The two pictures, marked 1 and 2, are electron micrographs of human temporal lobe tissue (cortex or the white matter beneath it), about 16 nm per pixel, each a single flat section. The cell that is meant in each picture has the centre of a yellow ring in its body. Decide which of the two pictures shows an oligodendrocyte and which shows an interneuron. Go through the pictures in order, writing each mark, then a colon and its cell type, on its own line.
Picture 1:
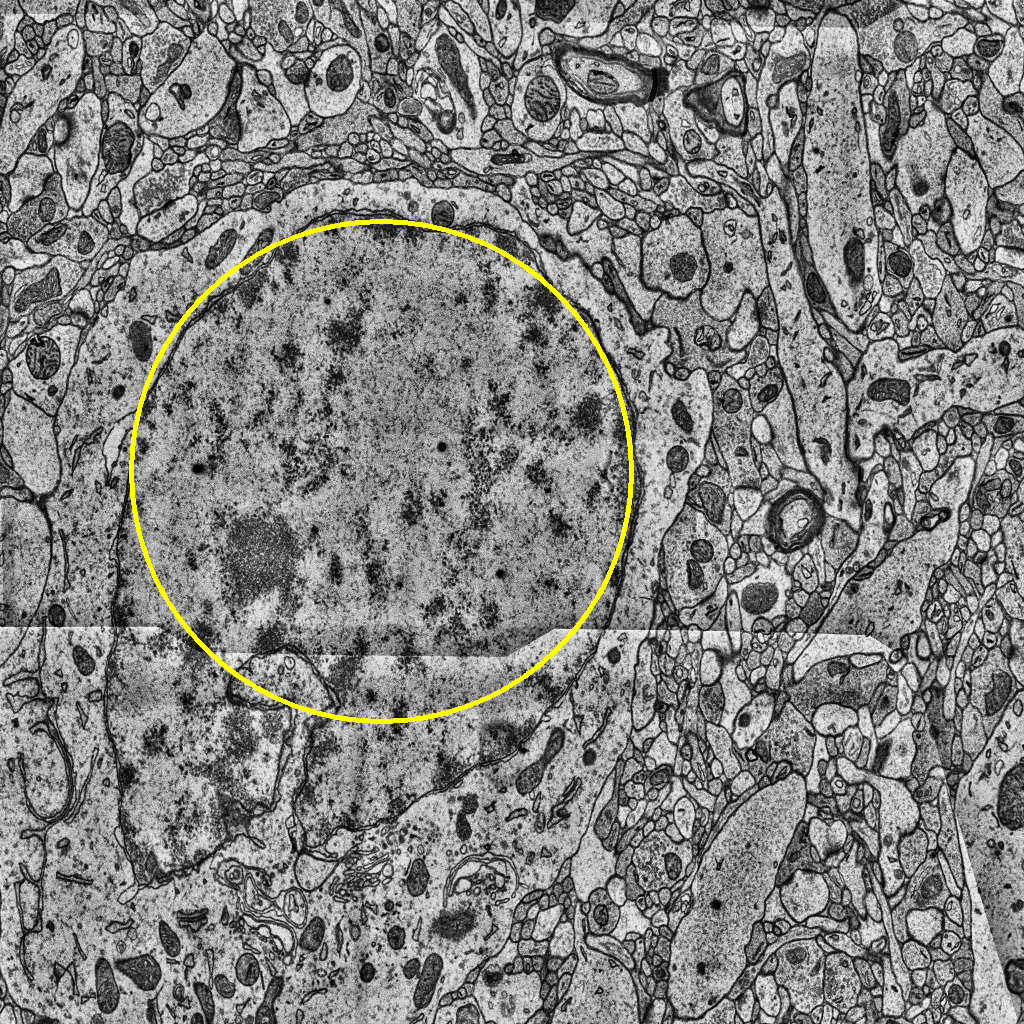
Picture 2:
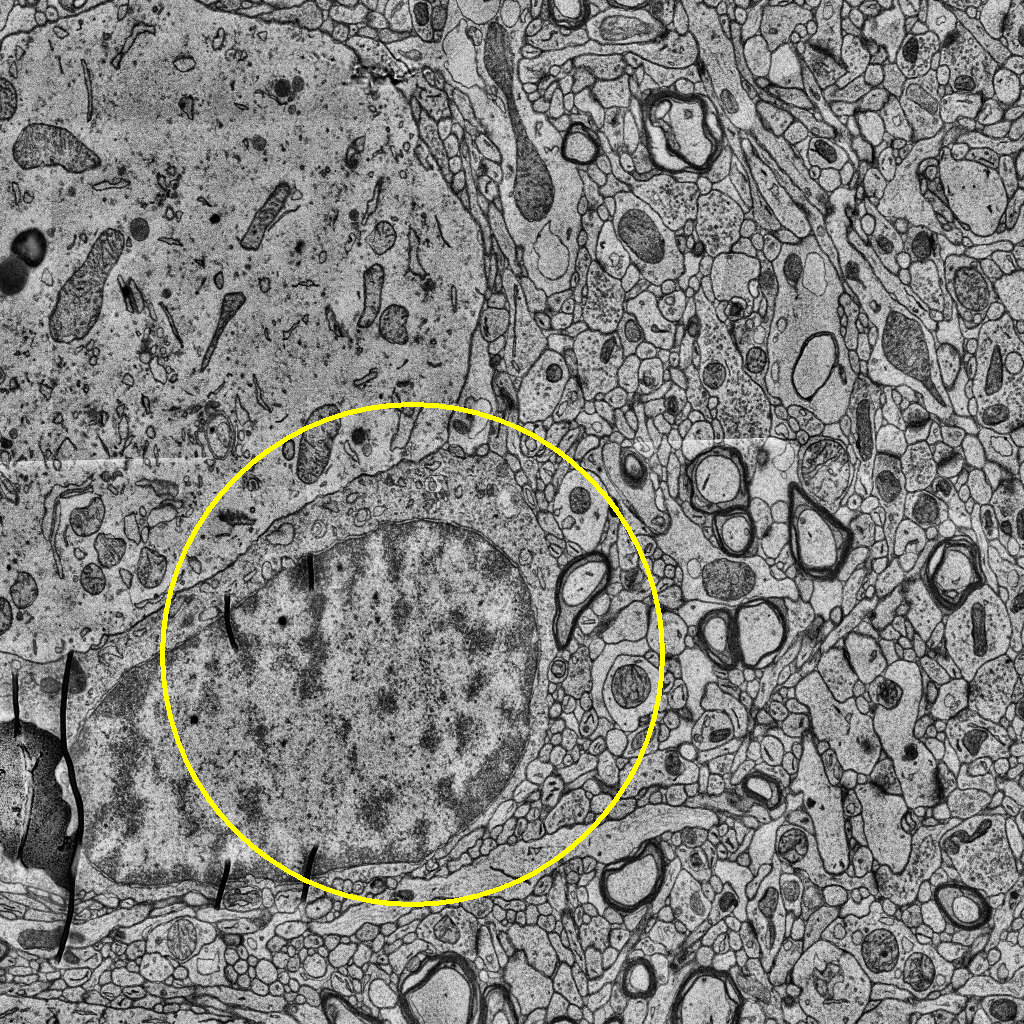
1: interneuron
2: oligodendrocyte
